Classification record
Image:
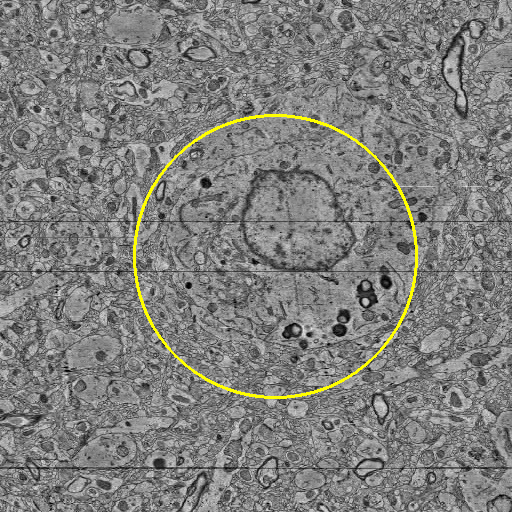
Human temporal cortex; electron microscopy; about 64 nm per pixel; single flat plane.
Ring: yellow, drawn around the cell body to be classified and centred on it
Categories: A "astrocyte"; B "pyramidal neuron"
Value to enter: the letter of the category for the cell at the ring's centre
B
